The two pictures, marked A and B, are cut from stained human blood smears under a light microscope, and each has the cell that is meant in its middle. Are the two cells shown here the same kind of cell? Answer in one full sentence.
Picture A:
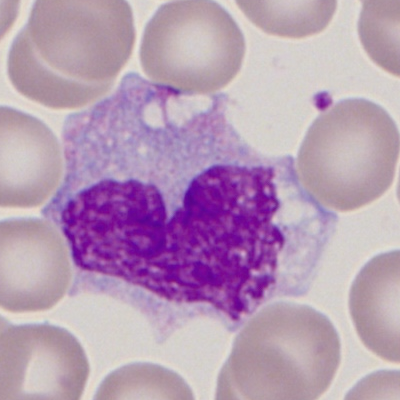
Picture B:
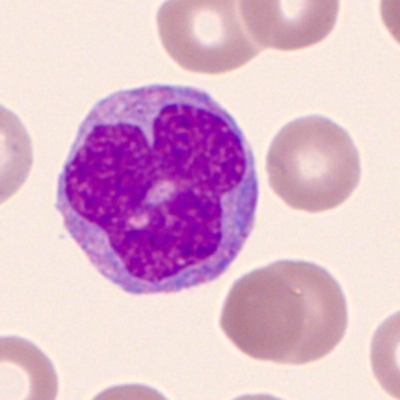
Yes; the cells in both pictures are monocytes.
